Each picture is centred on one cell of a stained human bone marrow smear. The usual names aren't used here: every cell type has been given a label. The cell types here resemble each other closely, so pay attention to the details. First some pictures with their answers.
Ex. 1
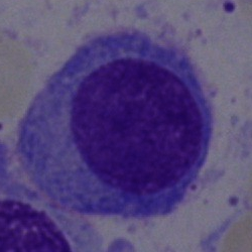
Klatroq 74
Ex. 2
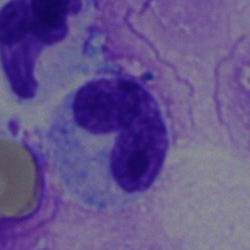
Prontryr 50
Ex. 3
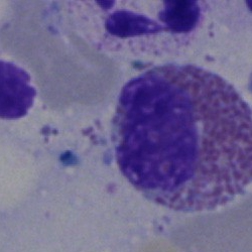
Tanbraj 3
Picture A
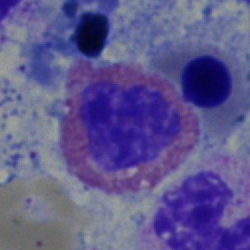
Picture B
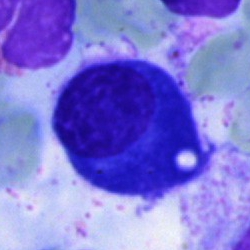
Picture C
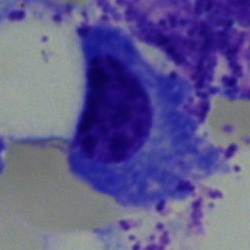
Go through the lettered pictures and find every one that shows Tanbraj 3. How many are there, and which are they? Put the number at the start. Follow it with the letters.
1: A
